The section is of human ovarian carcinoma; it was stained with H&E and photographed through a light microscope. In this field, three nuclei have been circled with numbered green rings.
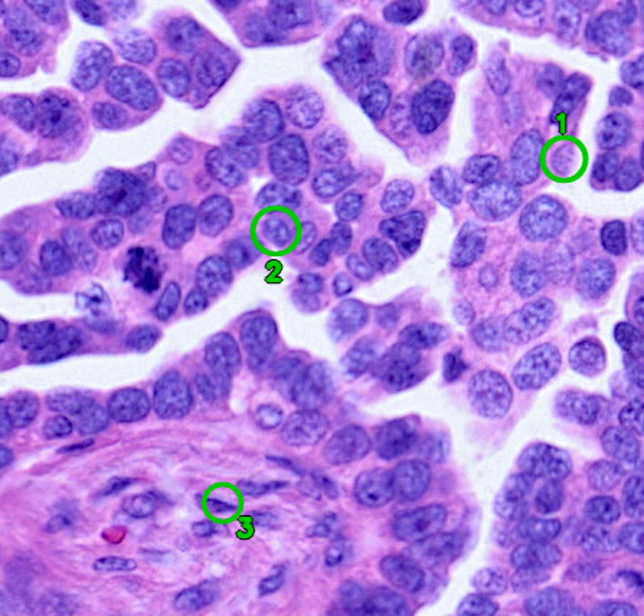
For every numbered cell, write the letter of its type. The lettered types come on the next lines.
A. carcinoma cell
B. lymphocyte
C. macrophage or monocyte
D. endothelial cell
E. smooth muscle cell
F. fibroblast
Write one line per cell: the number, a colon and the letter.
1: A
2: A
3: F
